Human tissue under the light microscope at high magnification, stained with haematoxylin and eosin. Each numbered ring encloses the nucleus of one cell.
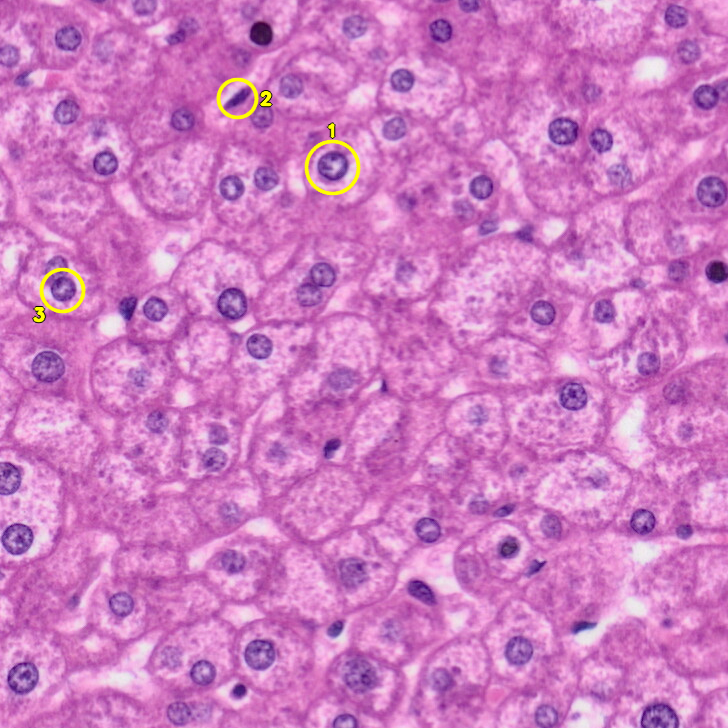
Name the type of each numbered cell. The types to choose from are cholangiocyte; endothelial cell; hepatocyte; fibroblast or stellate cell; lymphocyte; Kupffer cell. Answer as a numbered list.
1. hepatocyte
2. Kupffer cell
3. hepatocyte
